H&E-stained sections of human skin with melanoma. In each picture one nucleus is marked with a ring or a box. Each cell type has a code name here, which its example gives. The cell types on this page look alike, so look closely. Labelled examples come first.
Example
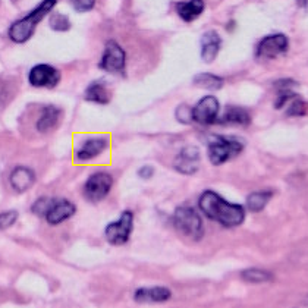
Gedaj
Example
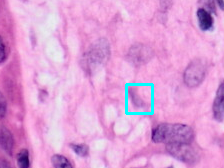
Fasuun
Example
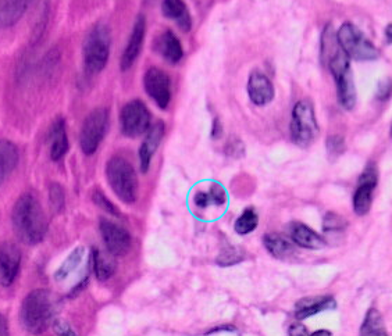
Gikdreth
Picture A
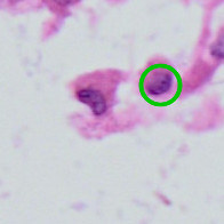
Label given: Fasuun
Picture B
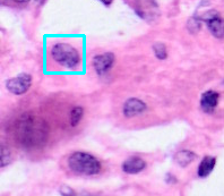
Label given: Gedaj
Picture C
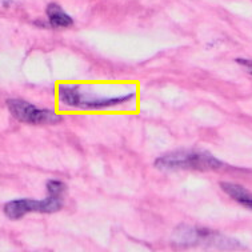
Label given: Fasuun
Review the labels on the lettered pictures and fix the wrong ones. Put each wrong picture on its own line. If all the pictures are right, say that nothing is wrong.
A: not Fasuun but Gedaj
